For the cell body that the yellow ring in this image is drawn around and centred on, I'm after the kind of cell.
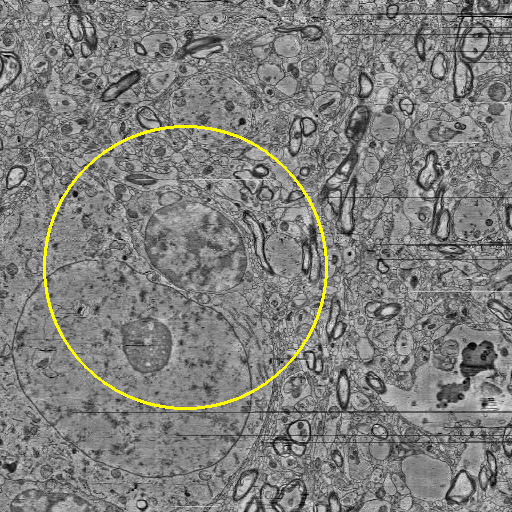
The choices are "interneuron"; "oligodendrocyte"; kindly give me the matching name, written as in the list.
oligodendrocyte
